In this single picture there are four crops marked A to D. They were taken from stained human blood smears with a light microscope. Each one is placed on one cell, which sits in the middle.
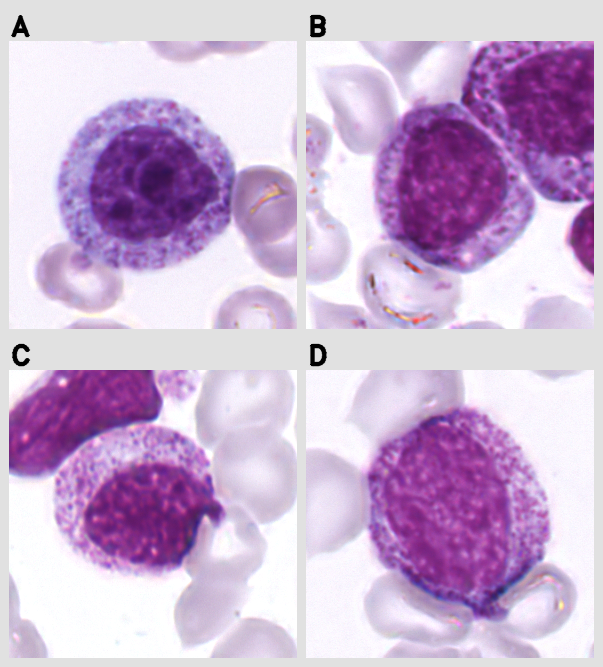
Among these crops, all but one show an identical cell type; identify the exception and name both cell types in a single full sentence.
The single exception among the crops is crop D, which is a promyelocyte; the rest show myelocytes.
